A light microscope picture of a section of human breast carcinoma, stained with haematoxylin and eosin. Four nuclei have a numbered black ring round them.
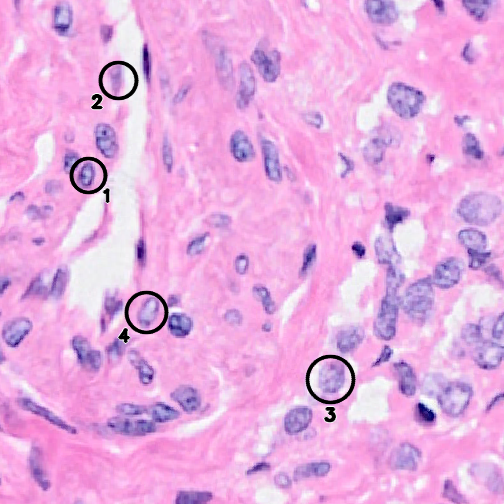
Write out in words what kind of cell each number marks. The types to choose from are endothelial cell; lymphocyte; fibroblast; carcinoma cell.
Cell 1 is an endothelial cell, cell 2 is an endothelial cell, cell 3 is a carcinoma cell and cell 4 is an endothelial cell.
